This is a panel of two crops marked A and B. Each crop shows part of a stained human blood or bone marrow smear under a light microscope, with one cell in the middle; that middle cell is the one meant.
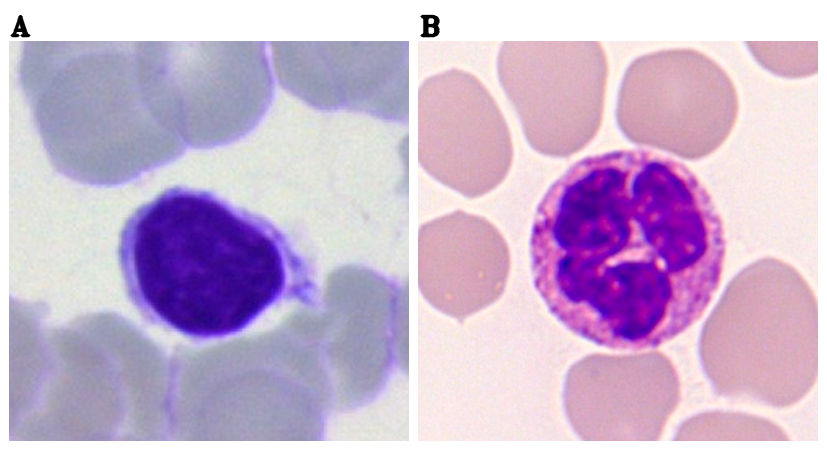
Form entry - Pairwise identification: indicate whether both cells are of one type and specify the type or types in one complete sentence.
No, crop A shows a lymphocyte, whereas in crop B the cell is a basophil.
